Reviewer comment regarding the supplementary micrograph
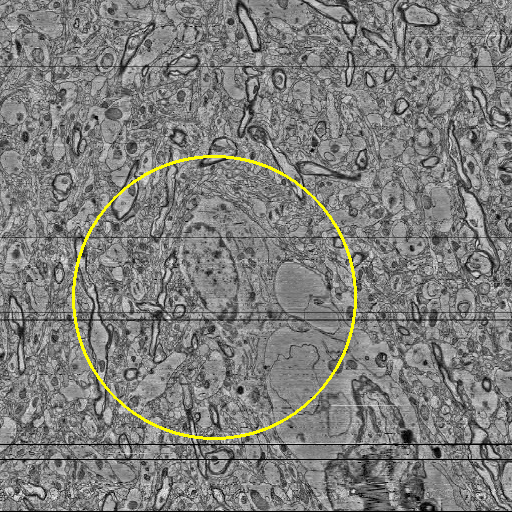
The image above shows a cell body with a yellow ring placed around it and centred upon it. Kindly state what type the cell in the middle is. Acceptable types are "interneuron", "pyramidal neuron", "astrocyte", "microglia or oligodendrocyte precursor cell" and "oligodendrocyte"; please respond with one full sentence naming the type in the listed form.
In the image above, the cell on which the yellow ring is centred is a microglial cell or oligodendrocyte precursor cell.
